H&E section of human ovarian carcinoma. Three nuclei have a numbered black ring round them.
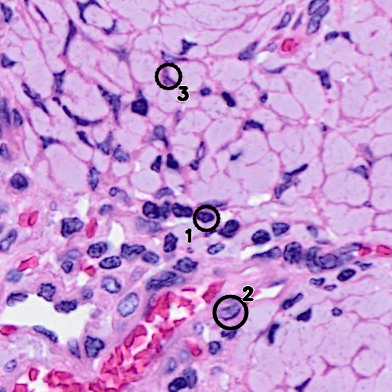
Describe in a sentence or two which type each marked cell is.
Cell 1 is a lymphocyte. Cell 2 is an endothelial cell. Cell 3 is a fibroblast.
